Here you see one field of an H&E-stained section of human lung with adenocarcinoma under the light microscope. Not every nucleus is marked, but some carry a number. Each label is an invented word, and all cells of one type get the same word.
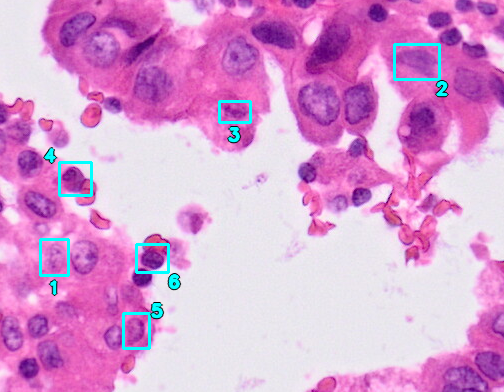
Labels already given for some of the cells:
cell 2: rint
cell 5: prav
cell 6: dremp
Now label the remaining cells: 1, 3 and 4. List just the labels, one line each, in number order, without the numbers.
prav
rint
prav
